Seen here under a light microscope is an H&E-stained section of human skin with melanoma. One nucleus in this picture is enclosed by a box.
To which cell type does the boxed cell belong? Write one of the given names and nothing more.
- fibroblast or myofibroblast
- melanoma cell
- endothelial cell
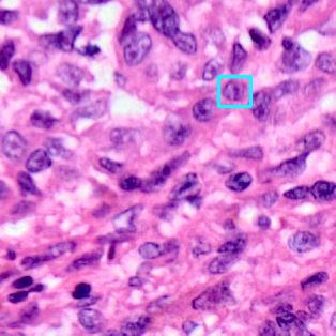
melanoma cell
